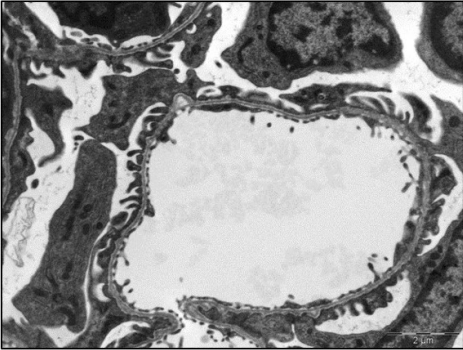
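A large, rounded capillary loop of a kidney glomerulus fills the center, its lumen pale and nearly empty apart from faint flocculent material. Around the loop lie cell bodies with dark, finely granular cytoplasm and nuclei showing clumped dark chromatin, consistent with podocytes and mesangial or endothelial cells. Pale spaces between the cells represent the urinary space. The membrane appears smooth and of uniform thickness along its course.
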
